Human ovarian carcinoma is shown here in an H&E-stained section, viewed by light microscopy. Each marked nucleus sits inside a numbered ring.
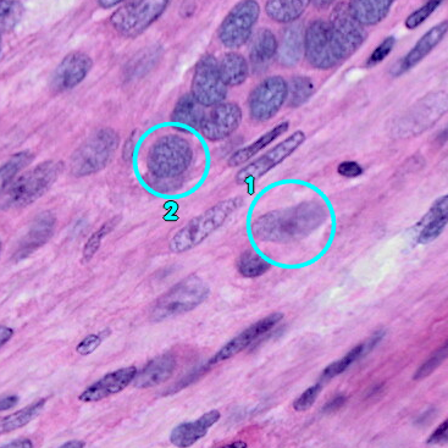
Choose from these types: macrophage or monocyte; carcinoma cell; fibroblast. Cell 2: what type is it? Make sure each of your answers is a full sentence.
The marked cell bearing number 2 is a carcinoma cell.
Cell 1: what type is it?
To a fibroblast belongs the nucleus marked 1.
